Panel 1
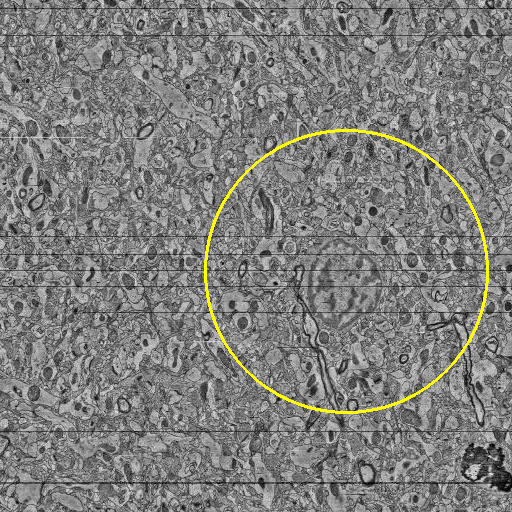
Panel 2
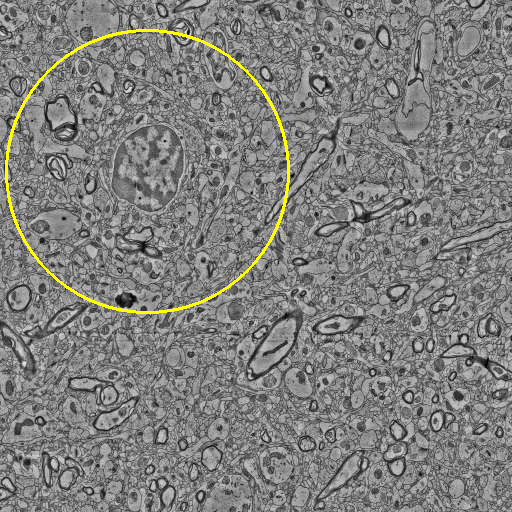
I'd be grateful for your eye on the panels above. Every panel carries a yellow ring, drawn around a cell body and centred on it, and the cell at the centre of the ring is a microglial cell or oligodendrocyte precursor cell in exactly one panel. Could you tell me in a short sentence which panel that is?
Panel 2 is the one with it at the centre of the ring.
